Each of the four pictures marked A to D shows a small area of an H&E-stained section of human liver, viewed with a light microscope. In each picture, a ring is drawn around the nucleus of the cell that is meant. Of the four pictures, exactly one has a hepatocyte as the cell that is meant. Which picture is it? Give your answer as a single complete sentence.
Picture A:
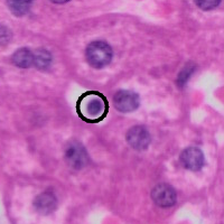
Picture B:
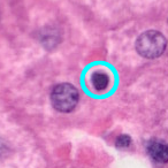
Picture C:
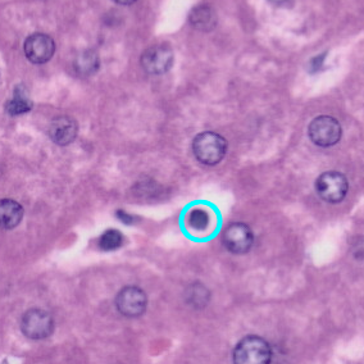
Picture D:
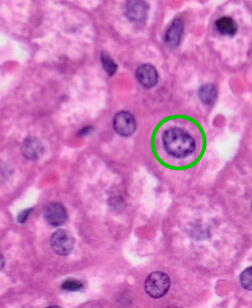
The picture with the hepatocyte is D.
